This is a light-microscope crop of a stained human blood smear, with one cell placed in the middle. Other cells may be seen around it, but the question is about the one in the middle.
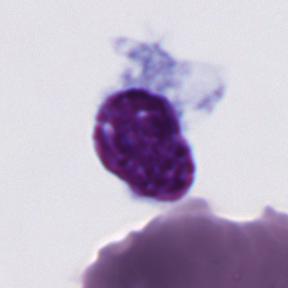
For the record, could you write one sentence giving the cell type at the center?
By classification, the middle cell of this crop is a hairy cell.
